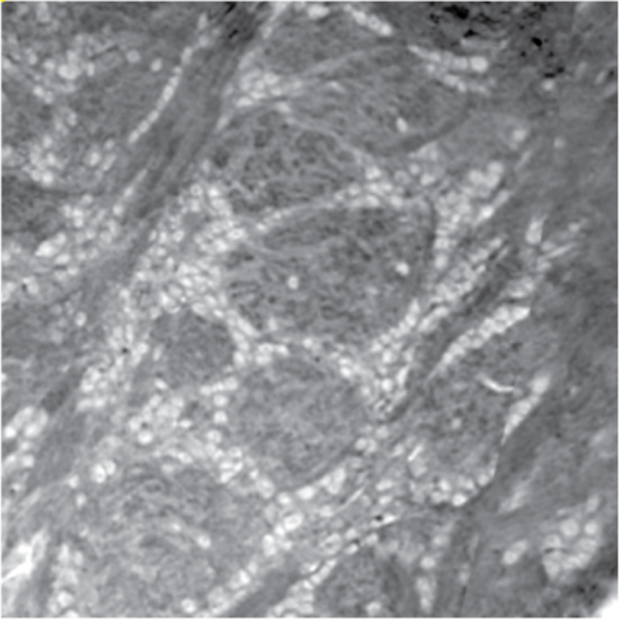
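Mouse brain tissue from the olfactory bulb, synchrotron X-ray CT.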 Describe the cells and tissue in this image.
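Bands of small, bright, round cell bodies outline these territories. The cell bodies are densely packed in rings and strands between the rounded territories. Streaked fibre bundles cross the field diagonally, especially towards the upper left. At this resolution single cell bodies can be told apart, but there is little detail inside them.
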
